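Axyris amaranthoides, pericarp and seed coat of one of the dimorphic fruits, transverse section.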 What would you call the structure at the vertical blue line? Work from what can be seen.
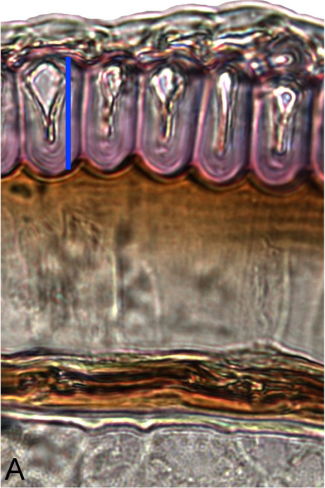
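The blue line spans a single row of tall columnar cells at the outer surface. These cells have very thick walls with narrow lumens. The lumens widen toward the outer side of the cells. So: sclereid layer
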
